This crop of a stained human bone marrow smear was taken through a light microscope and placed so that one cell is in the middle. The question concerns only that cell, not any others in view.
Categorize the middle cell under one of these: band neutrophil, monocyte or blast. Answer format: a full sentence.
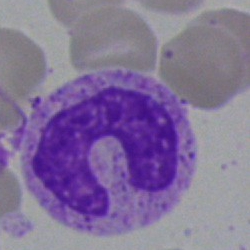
In the middle of this smear crop, the cell is a band neutrophil.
